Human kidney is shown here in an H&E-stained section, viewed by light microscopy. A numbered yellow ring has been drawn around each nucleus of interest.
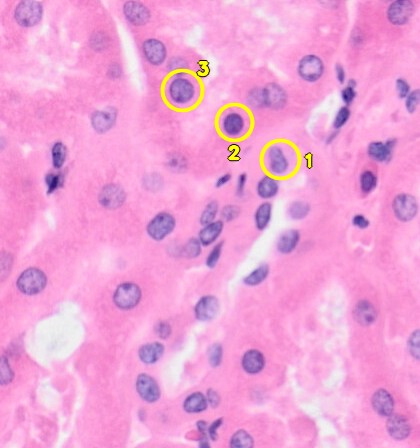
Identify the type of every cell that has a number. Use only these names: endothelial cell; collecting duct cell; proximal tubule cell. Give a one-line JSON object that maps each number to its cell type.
{"1": "collecting duct cell", "2": "proximal tubule cell", "3": "proximal tubule cell"}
